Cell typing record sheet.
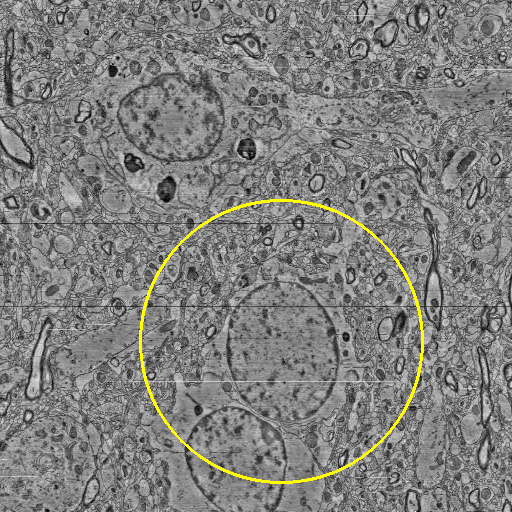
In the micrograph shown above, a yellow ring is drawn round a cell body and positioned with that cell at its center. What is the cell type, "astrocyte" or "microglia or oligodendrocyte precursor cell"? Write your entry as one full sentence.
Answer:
The cell body at the center of the ring belongs to an astrocyte.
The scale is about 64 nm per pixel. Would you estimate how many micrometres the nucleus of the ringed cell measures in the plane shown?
The nucleus of the ringed cell is approximately 9 by 7 micrometres in this plane.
